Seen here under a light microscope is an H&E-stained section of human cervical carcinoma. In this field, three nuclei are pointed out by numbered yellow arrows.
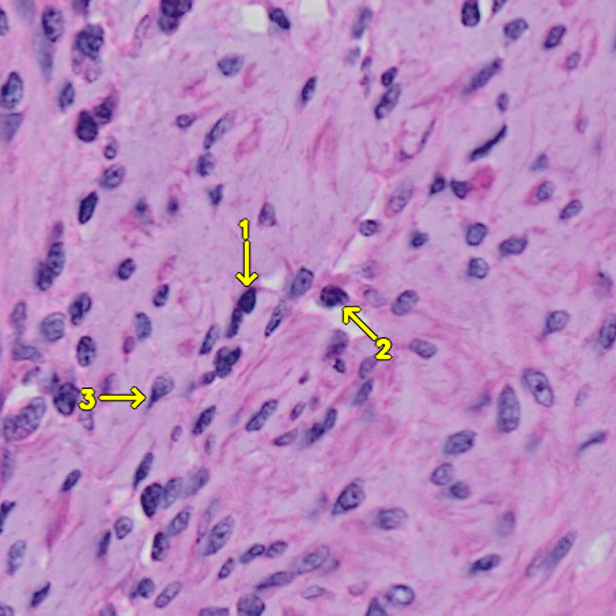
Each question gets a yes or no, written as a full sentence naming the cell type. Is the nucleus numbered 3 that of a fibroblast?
Yes, within this section, cell number 3 is a fibroblast.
